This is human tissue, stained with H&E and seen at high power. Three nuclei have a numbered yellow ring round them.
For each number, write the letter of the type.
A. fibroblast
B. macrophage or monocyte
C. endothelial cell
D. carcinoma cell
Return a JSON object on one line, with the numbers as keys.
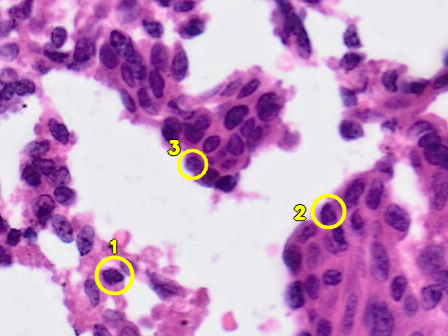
{"1": "B", "2": "D", "3": "D"}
